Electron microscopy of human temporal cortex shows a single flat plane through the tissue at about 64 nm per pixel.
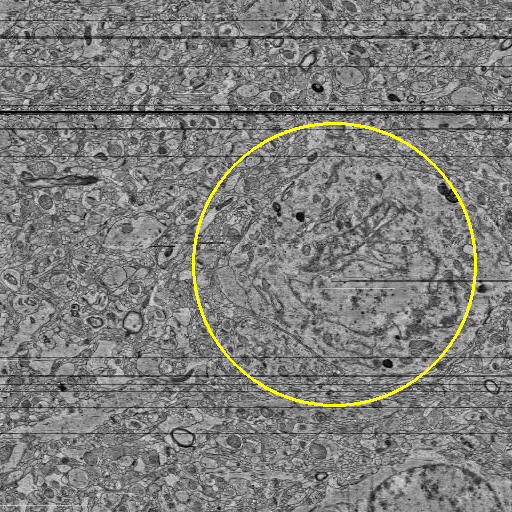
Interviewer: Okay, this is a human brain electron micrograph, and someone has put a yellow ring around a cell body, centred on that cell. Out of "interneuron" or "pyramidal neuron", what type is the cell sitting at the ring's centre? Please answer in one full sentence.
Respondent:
The cell at the centre of the yellow ring in this picture is an interneuron.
